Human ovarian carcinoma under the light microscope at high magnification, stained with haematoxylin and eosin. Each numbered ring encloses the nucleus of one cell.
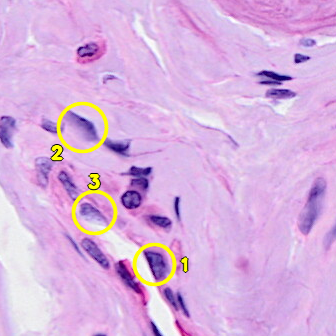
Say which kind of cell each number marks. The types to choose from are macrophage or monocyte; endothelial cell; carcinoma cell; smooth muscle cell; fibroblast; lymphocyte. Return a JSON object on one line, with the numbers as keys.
{"1": "endothelial cell", "2": "fibroblast", "3": "endothelial cell"}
